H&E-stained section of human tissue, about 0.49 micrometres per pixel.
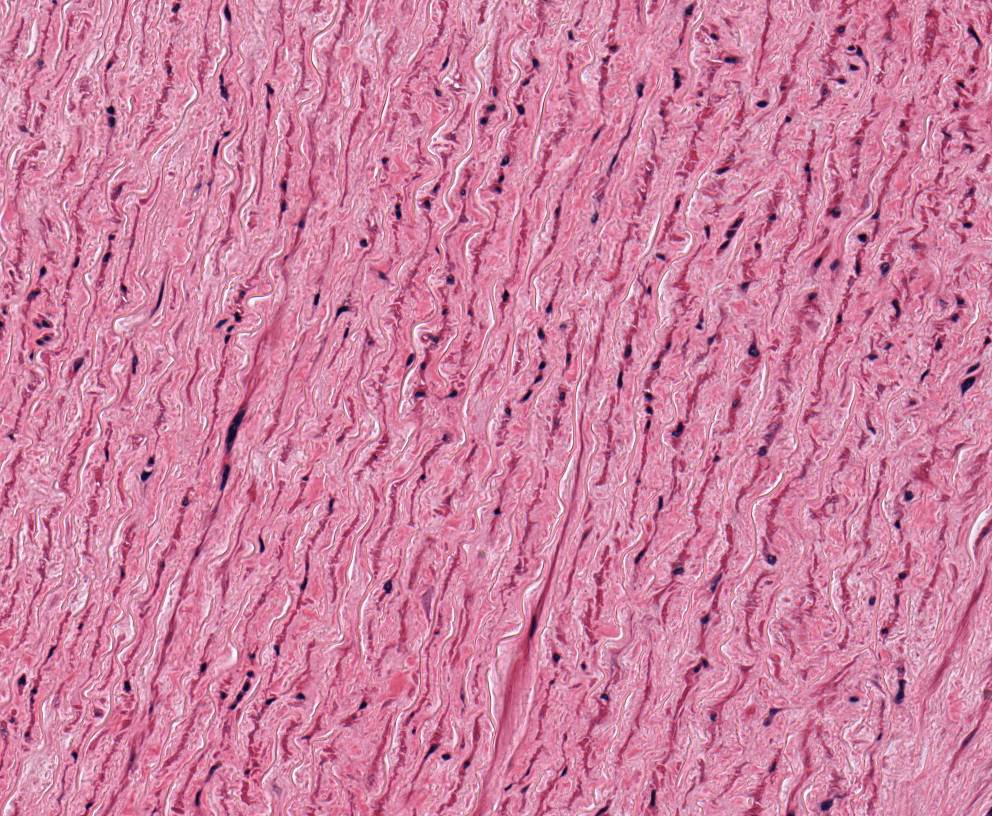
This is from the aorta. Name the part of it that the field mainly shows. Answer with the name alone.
tunica media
